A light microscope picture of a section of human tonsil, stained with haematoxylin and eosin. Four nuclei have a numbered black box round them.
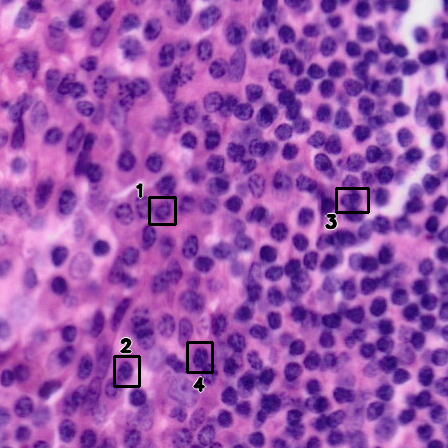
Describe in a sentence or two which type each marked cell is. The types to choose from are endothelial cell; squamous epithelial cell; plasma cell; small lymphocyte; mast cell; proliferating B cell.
Cell 1 is a plasma cell, cell 2 is a plasma cell, cell 3 is a small lymphocyte and cell 4 is a plasma cell.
